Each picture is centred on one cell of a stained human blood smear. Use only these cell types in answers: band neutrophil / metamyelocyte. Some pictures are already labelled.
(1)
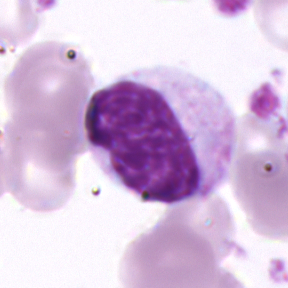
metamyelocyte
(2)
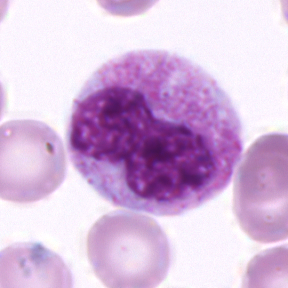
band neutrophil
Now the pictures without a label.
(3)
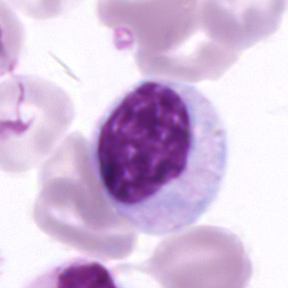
metamyelocyte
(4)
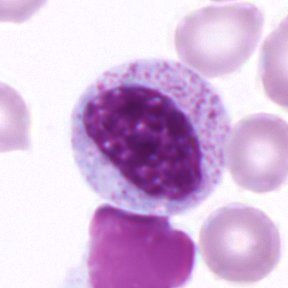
metamyelocyte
